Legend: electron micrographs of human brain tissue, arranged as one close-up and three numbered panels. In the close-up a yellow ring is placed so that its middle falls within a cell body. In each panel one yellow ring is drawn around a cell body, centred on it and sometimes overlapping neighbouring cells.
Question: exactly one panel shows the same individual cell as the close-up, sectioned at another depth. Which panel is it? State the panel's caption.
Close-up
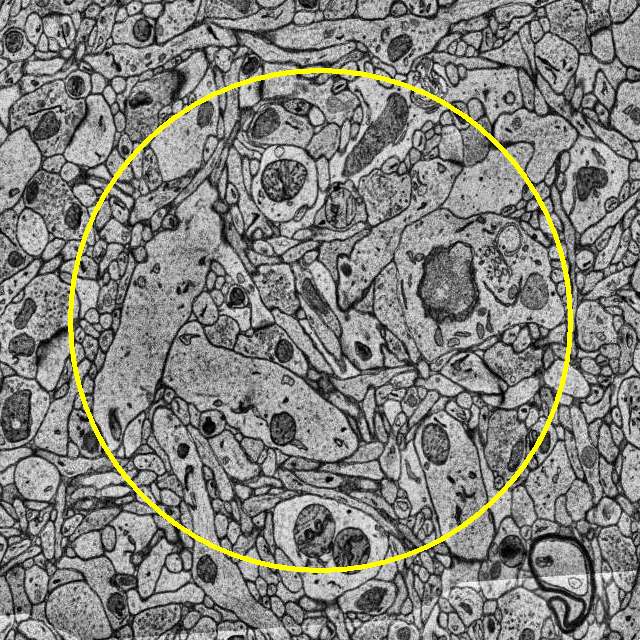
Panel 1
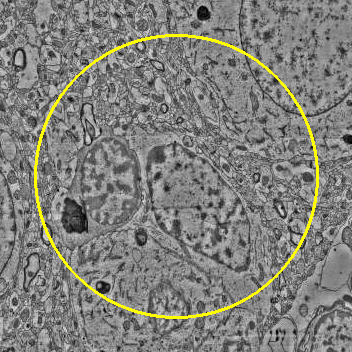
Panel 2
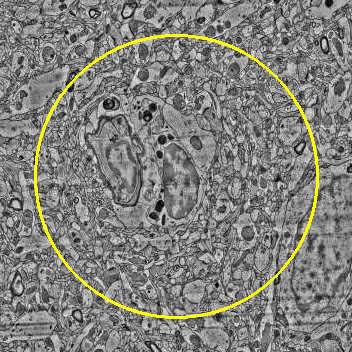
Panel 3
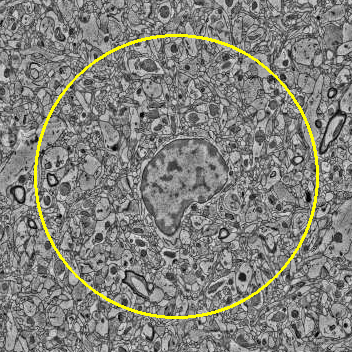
Panel 3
